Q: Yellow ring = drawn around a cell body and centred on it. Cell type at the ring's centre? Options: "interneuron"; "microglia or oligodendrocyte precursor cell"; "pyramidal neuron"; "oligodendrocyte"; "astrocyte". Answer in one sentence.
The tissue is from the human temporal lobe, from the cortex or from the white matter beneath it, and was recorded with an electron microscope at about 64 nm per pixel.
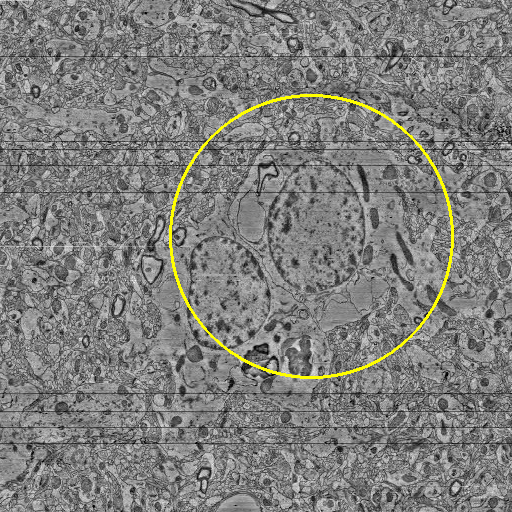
Centred in the ring is an astrocyte.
